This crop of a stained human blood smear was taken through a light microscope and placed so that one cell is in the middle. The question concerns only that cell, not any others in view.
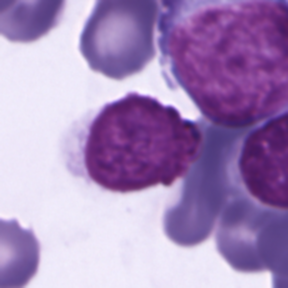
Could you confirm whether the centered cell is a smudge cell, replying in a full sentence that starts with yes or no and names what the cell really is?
No, this is not a smudge cell at all; the cell in the middle is a myeloblast.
